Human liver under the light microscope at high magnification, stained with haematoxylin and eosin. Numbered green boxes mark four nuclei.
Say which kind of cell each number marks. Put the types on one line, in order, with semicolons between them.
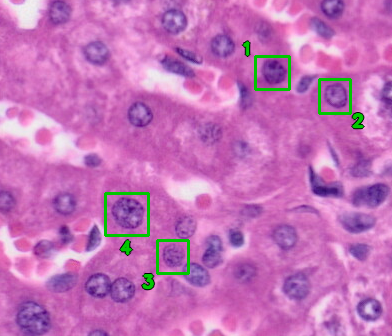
hepatocyte; hepatocyte; cholangiocyte; hepatocyte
